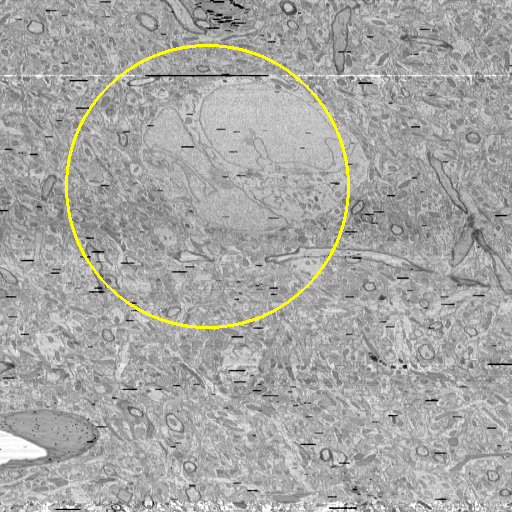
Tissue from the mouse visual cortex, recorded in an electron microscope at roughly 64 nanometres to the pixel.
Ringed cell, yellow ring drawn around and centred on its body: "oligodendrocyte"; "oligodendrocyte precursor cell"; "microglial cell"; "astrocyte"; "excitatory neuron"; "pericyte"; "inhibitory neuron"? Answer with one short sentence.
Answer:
This ringed cell is an oligodendrocyte precursor cell.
